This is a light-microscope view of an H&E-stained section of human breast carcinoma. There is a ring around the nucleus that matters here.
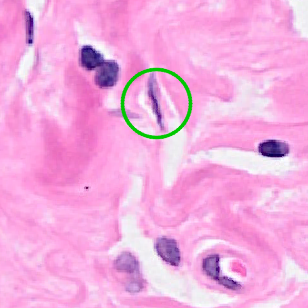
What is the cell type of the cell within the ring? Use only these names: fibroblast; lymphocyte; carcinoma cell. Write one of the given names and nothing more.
fibroblast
